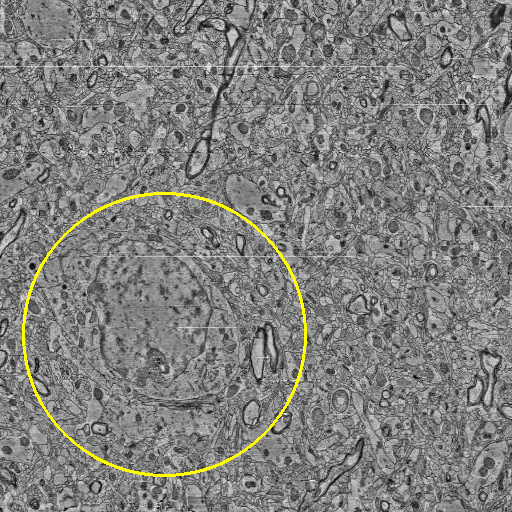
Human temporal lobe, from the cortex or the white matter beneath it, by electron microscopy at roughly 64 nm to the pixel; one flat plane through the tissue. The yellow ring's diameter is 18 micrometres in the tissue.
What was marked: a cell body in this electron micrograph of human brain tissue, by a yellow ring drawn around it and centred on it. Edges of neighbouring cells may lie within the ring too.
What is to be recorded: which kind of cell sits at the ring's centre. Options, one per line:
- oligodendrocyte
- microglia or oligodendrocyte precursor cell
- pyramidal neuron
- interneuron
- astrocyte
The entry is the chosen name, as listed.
interneuron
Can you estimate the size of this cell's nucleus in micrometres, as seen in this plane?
In this plane the nucleus measures roughly 10 by 8 micrometres.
